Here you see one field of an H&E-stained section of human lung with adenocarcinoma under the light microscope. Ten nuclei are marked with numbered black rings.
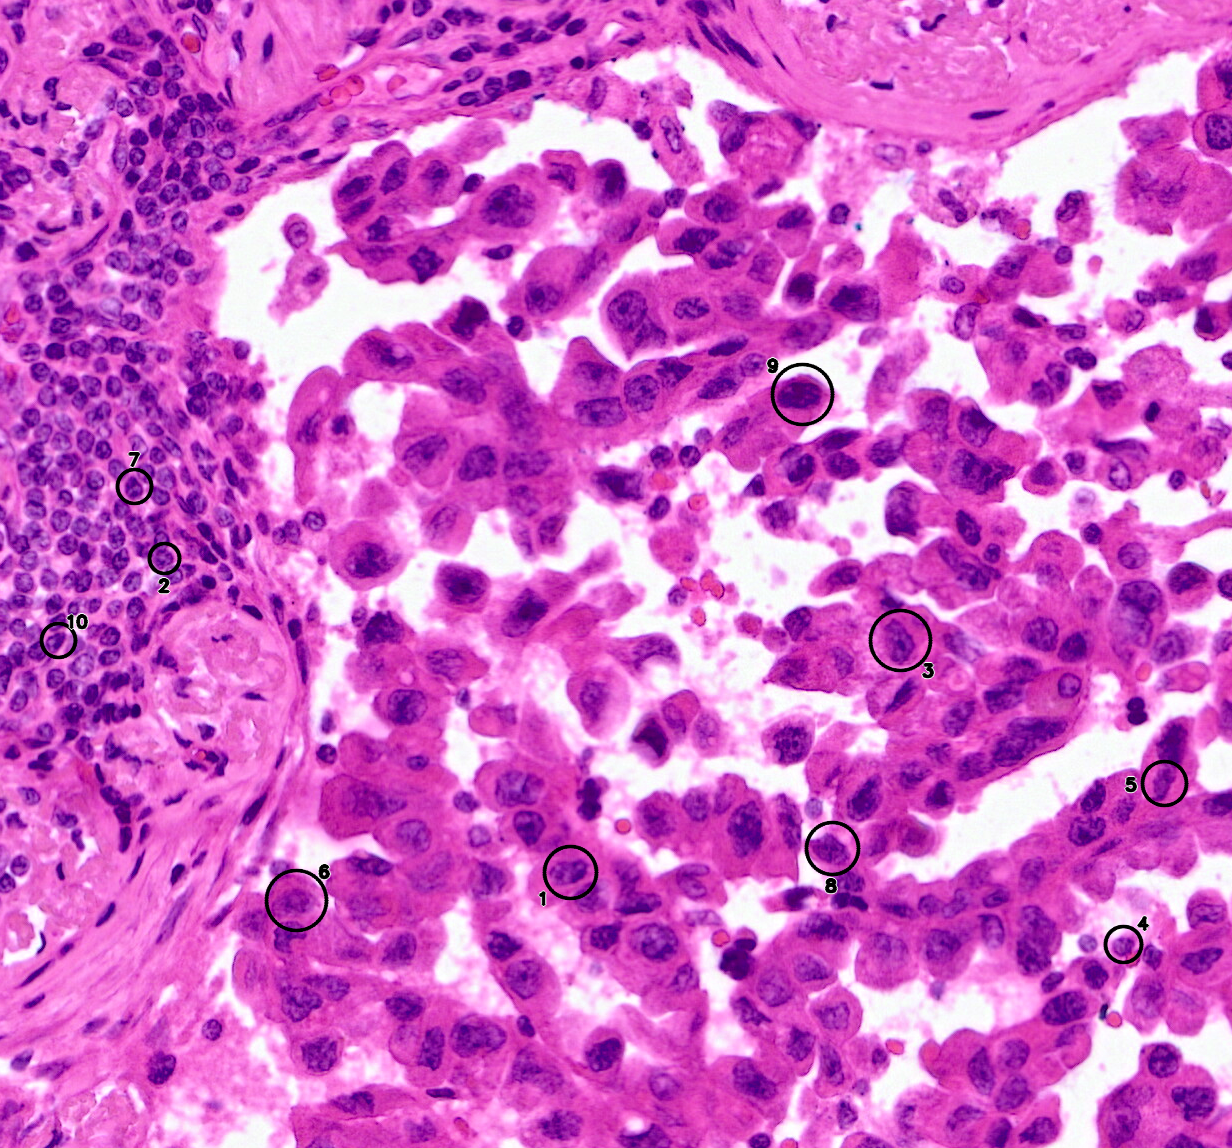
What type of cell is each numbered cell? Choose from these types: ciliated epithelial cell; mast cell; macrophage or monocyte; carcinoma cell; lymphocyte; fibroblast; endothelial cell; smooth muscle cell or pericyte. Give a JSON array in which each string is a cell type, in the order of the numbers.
["carcinoma cell", "lymphocyte", "carcinoma cell", "lymphocyte", "carcinoma cell", "carcinoma cell", "lymphocyte", "carcinoma cell", "carcinoma cell", "lymphocyte"]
